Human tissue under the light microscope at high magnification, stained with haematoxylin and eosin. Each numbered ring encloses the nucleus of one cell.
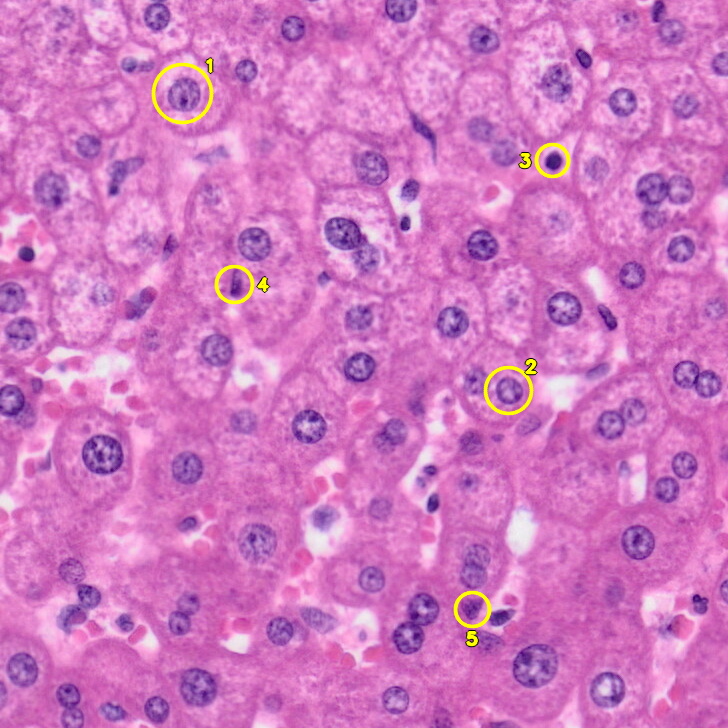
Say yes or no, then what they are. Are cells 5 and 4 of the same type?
No, cell 5 is classed as a fibroblast or stellate cell and cell 4 as an endothelial cell.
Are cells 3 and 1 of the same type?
No, that's off: cell 3 is a lymphocyte and cell 1 is a hepatocyte.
